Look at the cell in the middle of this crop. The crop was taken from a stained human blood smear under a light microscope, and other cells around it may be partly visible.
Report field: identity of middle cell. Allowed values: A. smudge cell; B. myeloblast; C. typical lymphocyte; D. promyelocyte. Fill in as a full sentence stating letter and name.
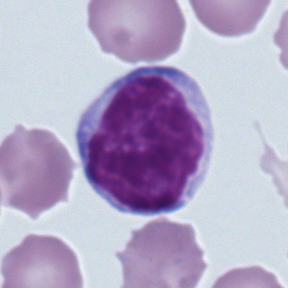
The cell in the centre of the crop is a typical lymphocyte, so option C is the correct one.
